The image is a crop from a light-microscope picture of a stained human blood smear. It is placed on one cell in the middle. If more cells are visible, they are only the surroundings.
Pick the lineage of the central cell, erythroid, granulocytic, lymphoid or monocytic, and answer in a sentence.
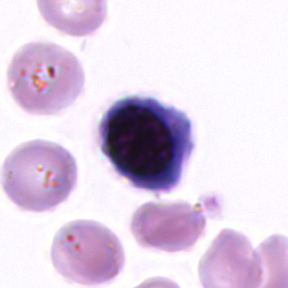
Within the erythroid lineage lies the cell at the center of the crop.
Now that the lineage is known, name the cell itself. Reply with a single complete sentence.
The cell in the exact centre of the crop is a normoblast.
